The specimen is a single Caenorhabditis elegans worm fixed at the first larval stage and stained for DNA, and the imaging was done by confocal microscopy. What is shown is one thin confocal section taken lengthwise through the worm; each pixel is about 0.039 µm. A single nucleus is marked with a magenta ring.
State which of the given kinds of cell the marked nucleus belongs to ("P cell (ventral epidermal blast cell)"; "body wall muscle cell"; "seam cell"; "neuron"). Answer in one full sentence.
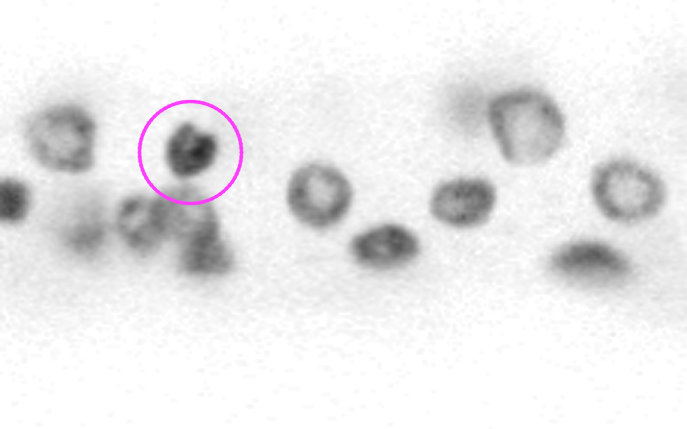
What is marked is the nucleus of a neuron.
